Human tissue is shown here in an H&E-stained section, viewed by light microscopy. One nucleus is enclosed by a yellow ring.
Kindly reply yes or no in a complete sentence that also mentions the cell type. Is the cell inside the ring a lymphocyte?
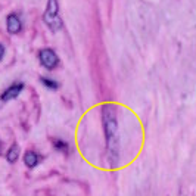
No, within this section, the cell inside the ring is categorized as a smooth muscle cell rather than a lymphocyte.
